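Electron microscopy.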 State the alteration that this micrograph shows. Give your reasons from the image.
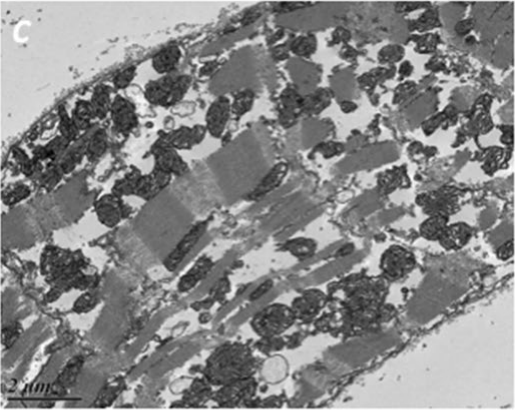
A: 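The mitochondrial network is disorganized. Dark rounded organelles lie in irregular clusters rather than in rows. Myofibril fragments are separated by wide pale spaces.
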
